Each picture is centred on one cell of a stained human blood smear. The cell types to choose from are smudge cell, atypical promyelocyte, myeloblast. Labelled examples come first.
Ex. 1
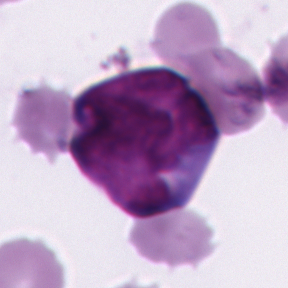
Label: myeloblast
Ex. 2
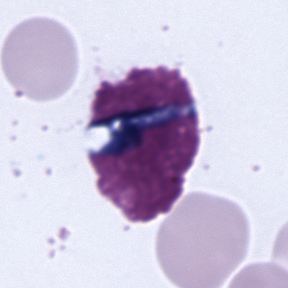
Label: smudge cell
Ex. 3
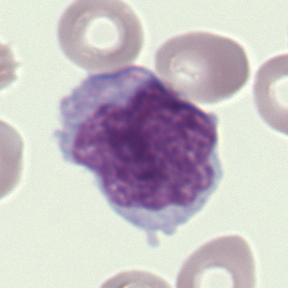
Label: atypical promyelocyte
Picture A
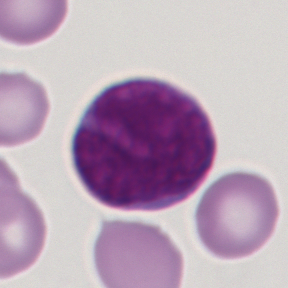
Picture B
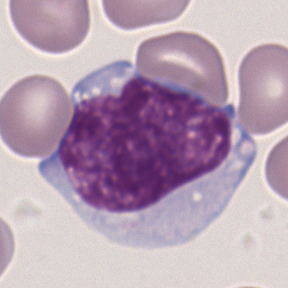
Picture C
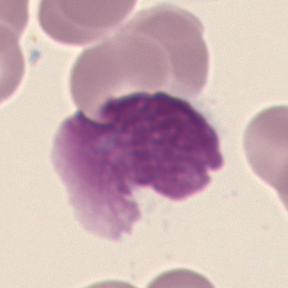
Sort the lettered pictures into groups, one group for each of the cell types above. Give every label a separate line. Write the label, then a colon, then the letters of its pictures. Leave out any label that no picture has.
smudge cell: C
myeloblast: A, B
